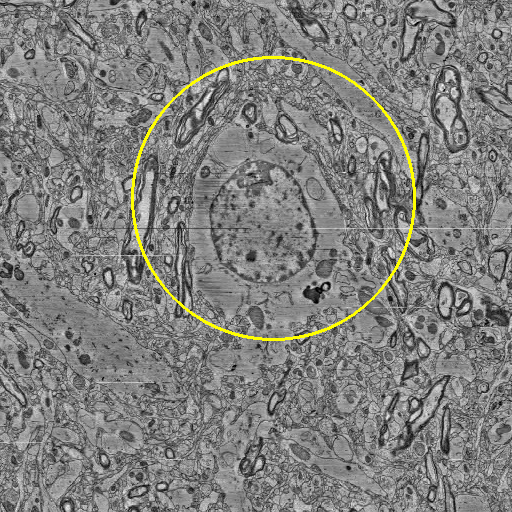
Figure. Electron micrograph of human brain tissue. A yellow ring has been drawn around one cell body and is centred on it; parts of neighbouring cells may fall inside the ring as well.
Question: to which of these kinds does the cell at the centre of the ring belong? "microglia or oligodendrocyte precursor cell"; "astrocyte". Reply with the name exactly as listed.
astrocyte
